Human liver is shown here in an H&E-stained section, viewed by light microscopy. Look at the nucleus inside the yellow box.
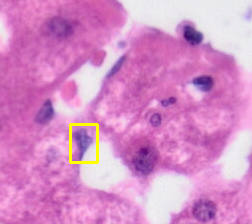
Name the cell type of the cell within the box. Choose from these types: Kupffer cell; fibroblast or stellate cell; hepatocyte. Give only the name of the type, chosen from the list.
fibroblast or stellate cell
